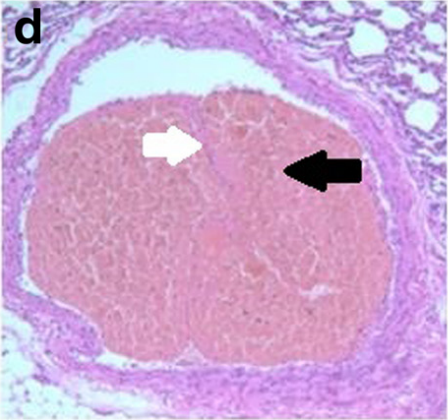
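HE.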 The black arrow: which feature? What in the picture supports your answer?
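Thrombi. The vessel lumen is filled by a mass of packed red blood cells. The mass is rounded and pulled away from part of the vessel wall.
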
